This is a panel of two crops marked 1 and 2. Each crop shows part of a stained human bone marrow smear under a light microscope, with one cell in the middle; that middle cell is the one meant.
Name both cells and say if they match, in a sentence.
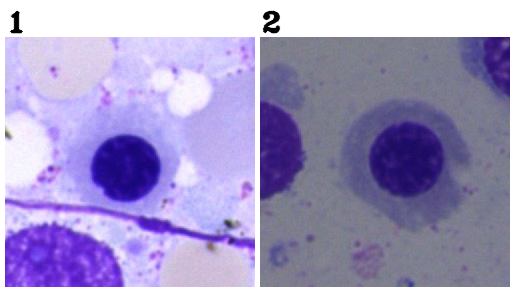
Yes, both of the crops in this pair show erythroblasts, one cell in each crop.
